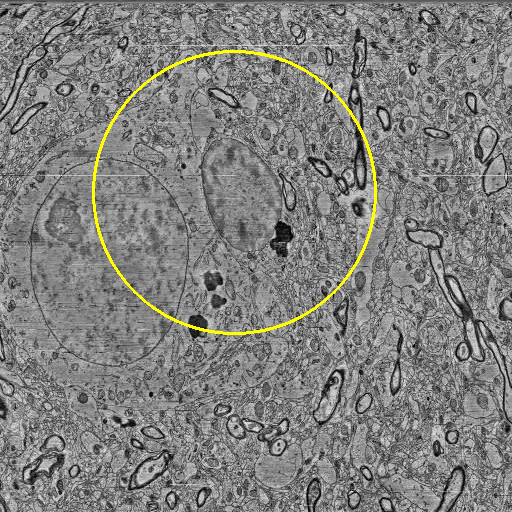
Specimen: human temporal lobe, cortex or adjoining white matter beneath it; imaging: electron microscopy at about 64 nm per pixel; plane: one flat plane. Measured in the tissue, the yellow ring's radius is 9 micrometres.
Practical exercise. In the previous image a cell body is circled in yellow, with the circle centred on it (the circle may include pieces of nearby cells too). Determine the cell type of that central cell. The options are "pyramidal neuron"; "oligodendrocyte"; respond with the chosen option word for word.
oligodendrocyte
